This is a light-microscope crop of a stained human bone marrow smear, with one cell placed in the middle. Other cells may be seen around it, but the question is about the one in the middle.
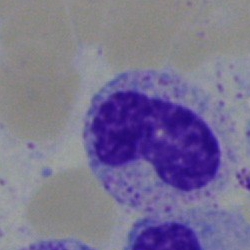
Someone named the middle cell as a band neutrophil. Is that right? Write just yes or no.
yes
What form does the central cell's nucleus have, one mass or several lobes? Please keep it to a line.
The nuclear material is gathered into one compact round, oval or kidney-shaped mass.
